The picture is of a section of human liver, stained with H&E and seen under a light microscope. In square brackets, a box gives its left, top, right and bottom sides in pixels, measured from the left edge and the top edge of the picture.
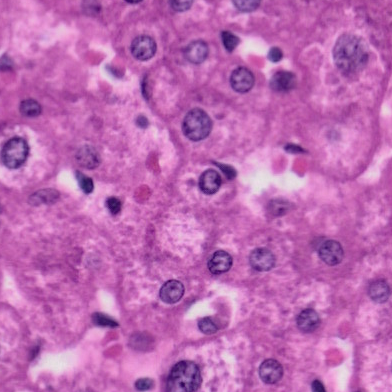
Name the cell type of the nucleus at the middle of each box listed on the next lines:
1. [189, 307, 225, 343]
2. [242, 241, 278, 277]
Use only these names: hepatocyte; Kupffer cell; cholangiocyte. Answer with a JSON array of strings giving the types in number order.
["Kupffer cell", "hepatocyte"]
